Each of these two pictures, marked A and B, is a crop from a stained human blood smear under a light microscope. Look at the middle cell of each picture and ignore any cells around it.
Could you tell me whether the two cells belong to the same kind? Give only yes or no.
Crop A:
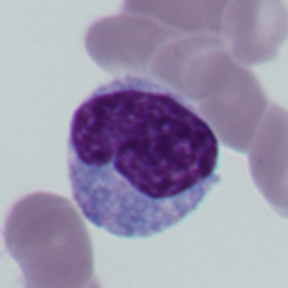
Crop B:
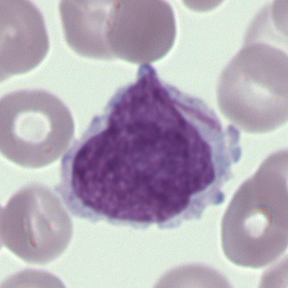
no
